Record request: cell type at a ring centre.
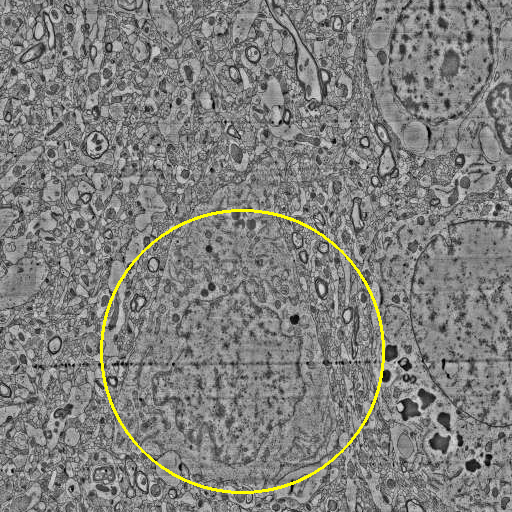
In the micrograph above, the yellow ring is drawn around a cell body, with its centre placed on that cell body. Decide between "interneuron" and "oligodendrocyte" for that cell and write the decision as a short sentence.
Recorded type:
The cell centred in the yellow ring is an interneuron.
